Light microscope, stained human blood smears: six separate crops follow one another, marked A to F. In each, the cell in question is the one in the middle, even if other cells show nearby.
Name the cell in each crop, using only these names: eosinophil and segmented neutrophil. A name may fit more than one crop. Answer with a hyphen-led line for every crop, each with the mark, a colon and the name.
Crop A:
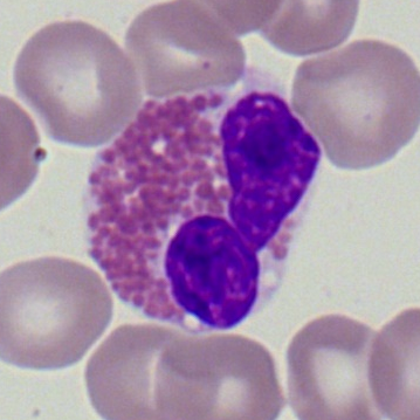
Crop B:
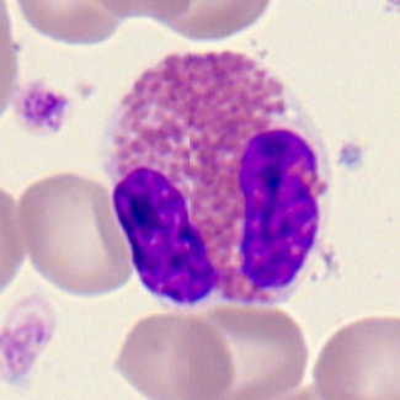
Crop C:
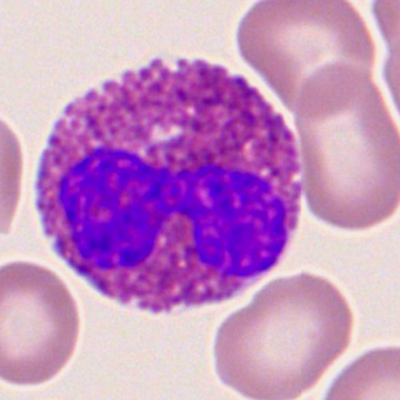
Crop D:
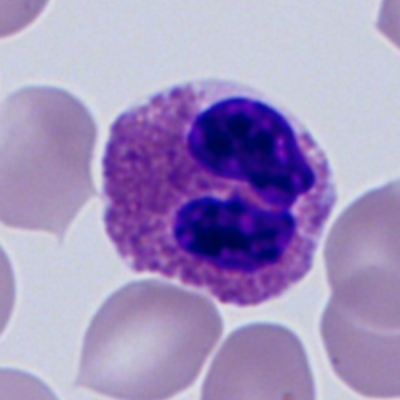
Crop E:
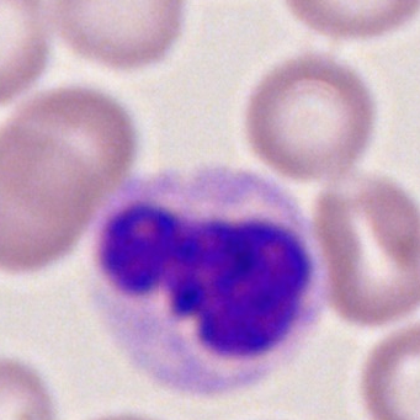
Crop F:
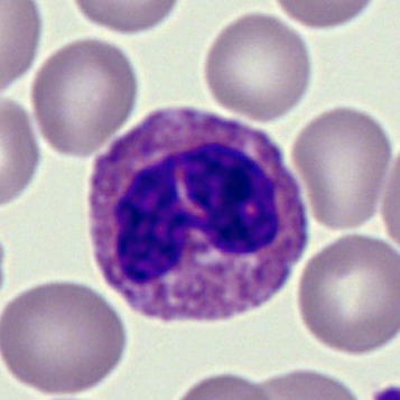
- A: eosinophil
- B: eosinophil
- C: eosinophil
- D: eosinophil
- E: segmented neutrophil
- F: eosinophil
